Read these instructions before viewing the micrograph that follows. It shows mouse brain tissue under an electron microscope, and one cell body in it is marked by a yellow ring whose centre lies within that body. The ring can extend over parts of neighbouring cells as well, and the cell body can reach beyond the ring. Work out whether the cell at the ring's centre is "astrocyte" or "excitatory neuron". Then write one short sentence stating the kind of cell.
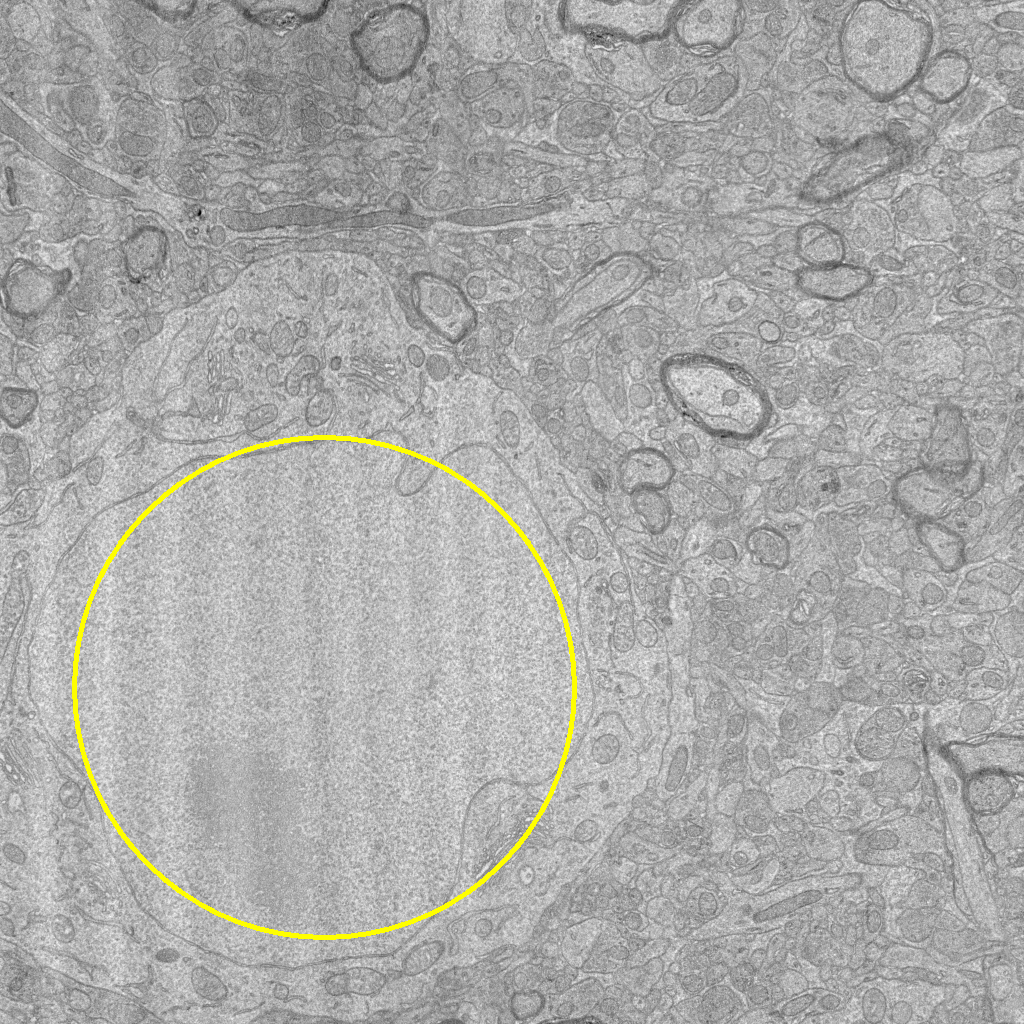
The cell at the ring's centre is an excitatory neuron.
